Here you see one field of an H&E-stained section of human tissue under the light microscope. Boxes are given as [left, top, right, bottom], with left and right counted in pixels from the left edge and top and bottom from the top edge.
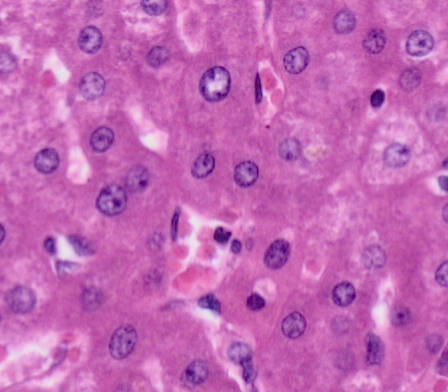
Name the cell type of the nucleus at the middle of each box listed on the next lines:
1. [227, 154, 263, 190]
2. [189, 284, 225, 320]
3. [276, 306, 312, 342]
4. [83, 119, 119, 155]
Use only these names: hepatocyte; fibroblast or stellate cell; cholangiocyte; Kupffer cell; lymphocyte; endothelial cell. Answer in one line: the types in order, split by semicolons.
hepatocyte; fibroblast or stellate cell; hepatocyte; hepatocyte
